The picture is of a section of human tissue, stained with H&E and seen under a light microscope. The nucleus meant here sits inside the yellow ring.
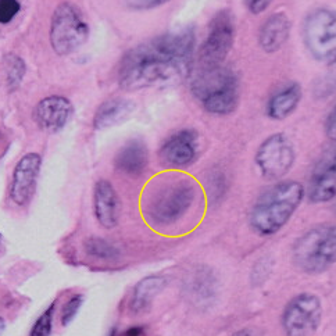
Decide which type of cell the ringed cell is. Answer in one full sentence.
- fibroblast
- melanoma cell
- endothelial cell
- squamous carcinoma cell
In this preparation, the ringed cell is a squamous carcinoma cell.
